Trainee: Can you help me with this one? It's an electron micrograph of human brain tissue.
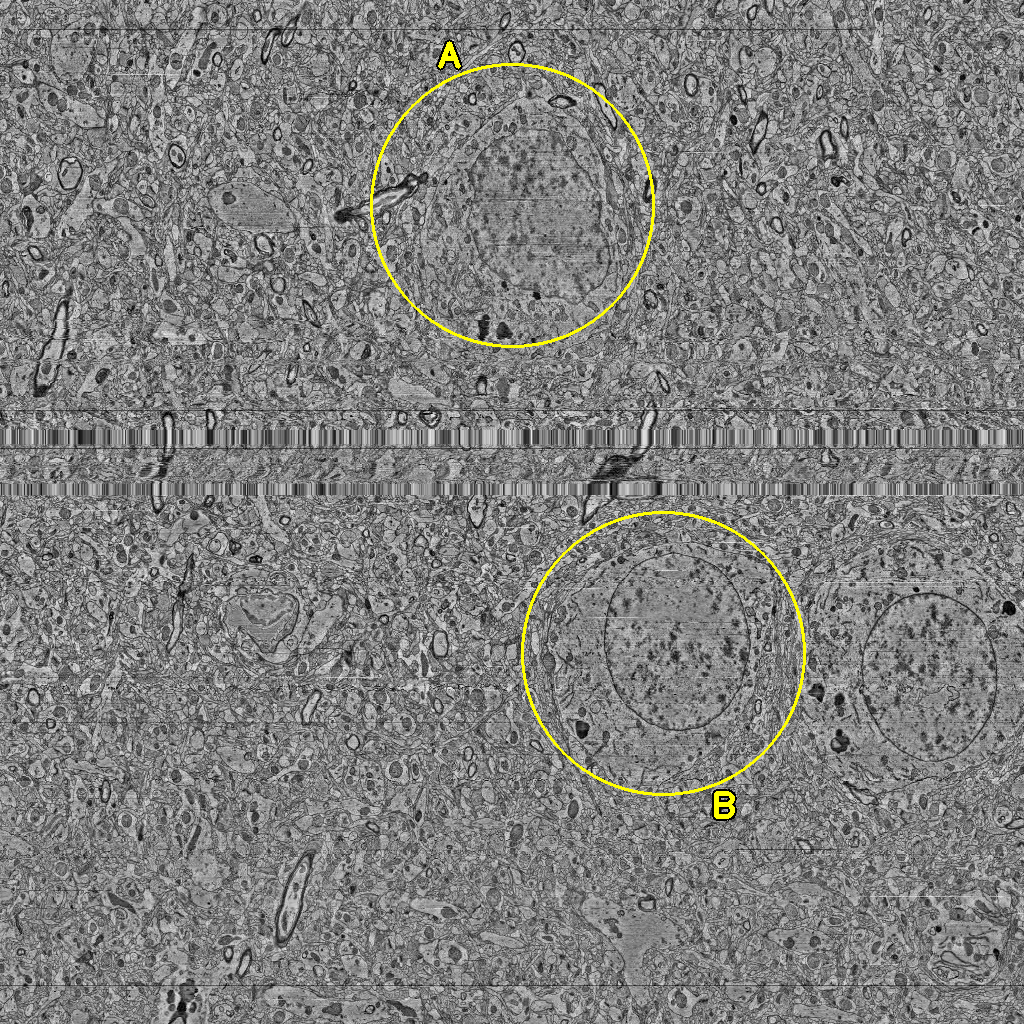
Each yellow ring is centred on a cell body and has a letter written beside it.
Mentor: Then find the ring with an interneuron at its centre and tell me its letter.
A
